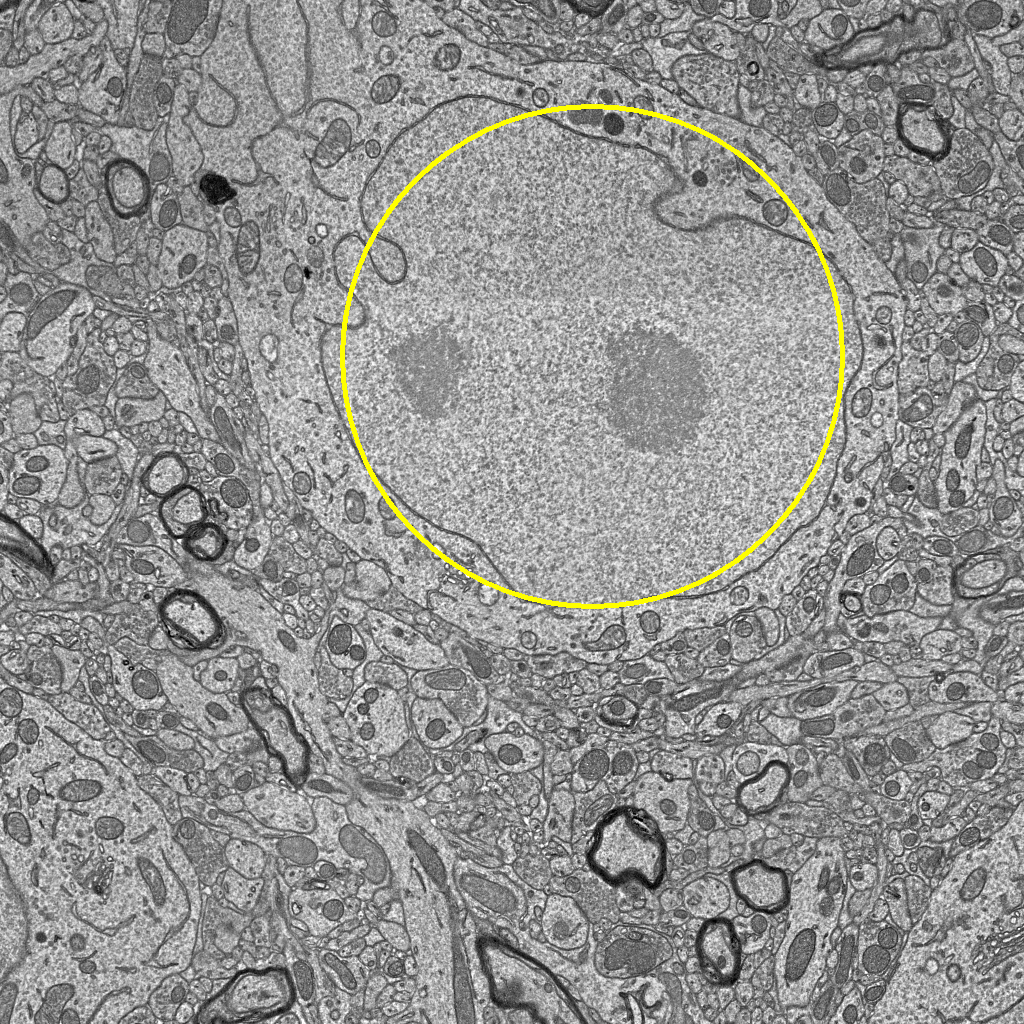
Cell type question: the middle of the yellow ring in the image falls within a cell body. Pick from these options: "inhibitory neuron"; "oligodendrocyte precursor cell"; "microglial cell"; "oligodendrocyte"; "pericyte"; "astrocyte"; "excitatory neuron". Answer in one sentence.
The cell body at the center of the ring belongs to an excitatory neuron.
